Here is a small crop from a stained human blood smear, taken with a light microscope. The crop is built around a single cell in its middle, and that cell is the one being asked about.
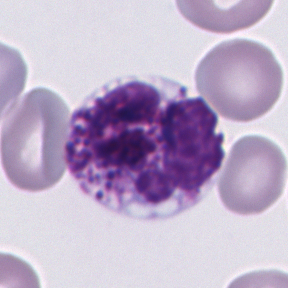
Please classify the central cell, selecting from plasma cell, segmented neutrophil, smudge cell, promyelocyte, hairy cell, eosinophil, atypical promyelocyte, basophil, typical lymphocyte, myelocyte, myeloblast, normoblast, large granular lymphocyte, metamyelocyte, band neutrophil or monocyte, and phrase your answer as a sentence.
The single cell at the center of the crop is a basophil.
